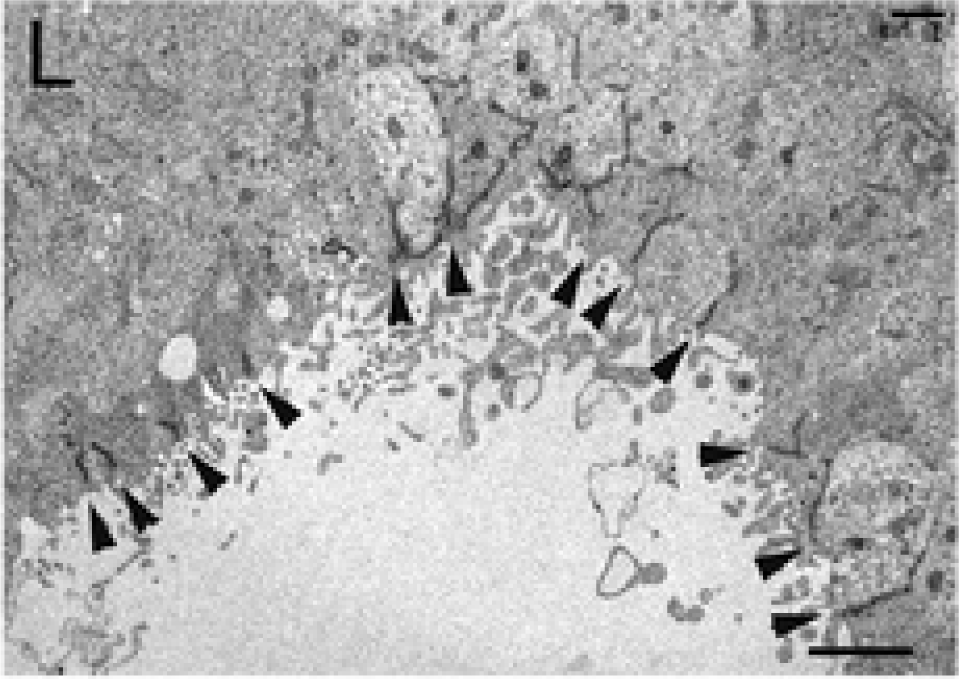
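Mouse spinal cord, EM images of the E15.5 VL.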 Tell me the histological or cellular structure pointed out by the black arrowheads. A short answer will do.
electron-dense junctions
